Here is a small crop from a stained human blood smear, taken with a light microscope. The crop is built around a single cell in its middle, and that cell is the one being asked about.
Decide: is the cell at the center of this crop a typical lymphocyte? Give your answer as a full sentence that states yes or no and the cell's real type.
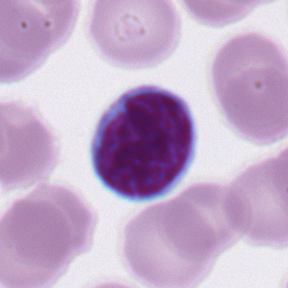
Yes, the central element of the crop is a typical lymphocyte.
